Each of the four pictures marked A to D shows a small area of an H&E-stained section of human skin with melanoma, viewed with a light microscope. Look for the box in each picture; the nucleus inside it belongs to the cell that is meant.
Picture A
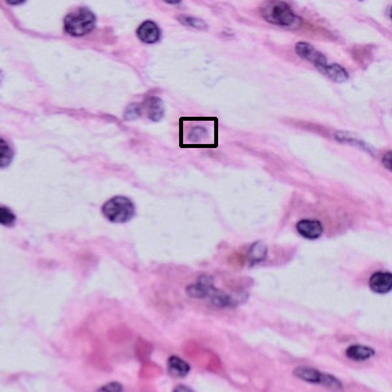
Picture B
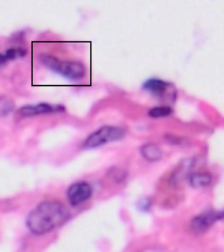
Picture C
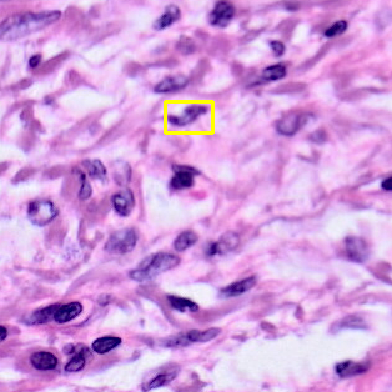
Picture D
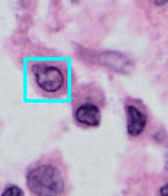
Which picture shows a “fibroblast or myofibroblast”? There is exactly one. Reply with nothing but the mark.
C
